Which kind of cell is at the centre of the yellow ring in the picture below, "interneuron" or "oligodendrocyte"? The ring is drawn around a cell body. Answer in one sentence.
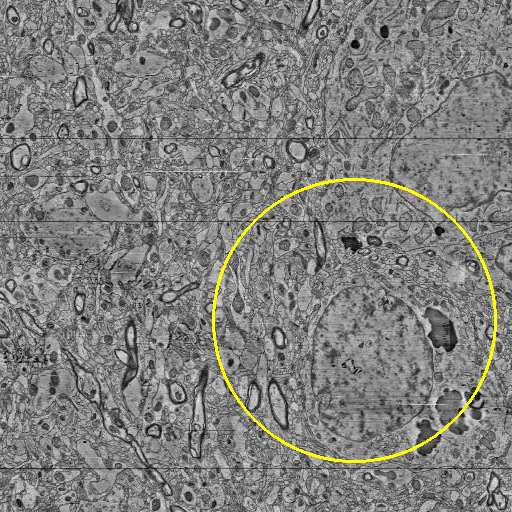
The ring's central cell is an interneuron.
